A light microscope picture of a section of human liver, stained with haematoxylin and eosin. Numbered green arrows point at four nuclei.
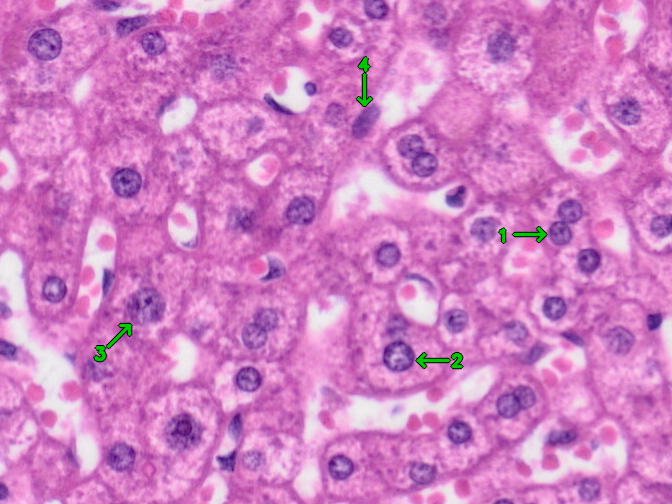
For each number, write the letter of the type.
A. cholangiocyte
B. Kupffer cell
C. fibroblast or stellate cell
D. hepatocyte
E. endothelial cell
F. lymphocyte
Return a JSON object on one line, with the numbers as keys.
{"1": "D", "2": "D", "3": "D", "4": "B"}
